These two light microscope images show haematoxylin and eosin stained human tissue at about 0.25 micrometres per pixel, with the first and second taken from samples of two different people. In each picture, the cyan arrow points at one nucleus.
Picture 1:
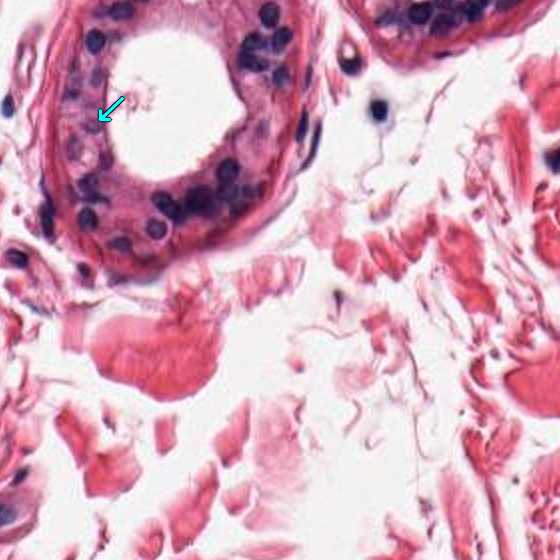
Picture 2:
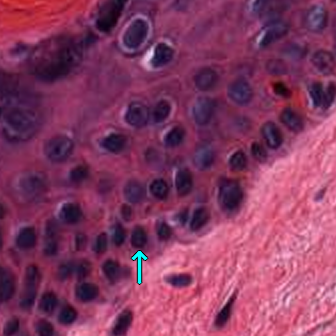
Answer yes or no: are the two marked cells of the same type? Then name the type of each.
No, the first is a sweat gland cell and the second a keratinocyte.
